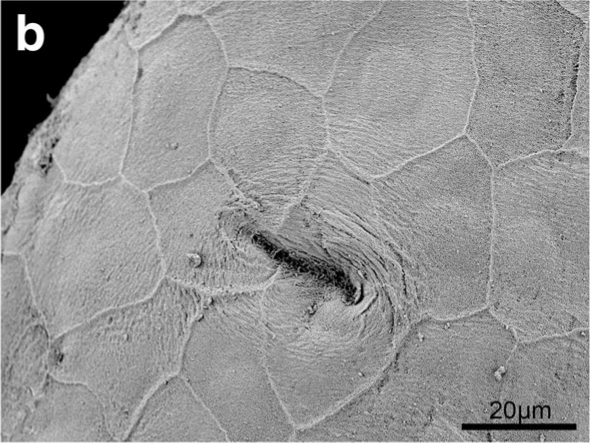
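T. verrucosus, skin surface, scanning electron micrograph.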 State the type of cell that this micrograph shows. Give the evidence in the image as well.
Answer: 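The surface is tiled by polygonal cells with raised borders. The cells lie edge to edge without gaps.
Hence: epithelial cells.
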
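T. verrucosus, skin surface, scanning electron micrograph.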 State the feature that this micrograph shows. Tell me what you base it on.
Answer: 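A single elongated dark slit lies near the centre of the surface. The surface around the slit is folded in curved wrinkles.
A single gland pore.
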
